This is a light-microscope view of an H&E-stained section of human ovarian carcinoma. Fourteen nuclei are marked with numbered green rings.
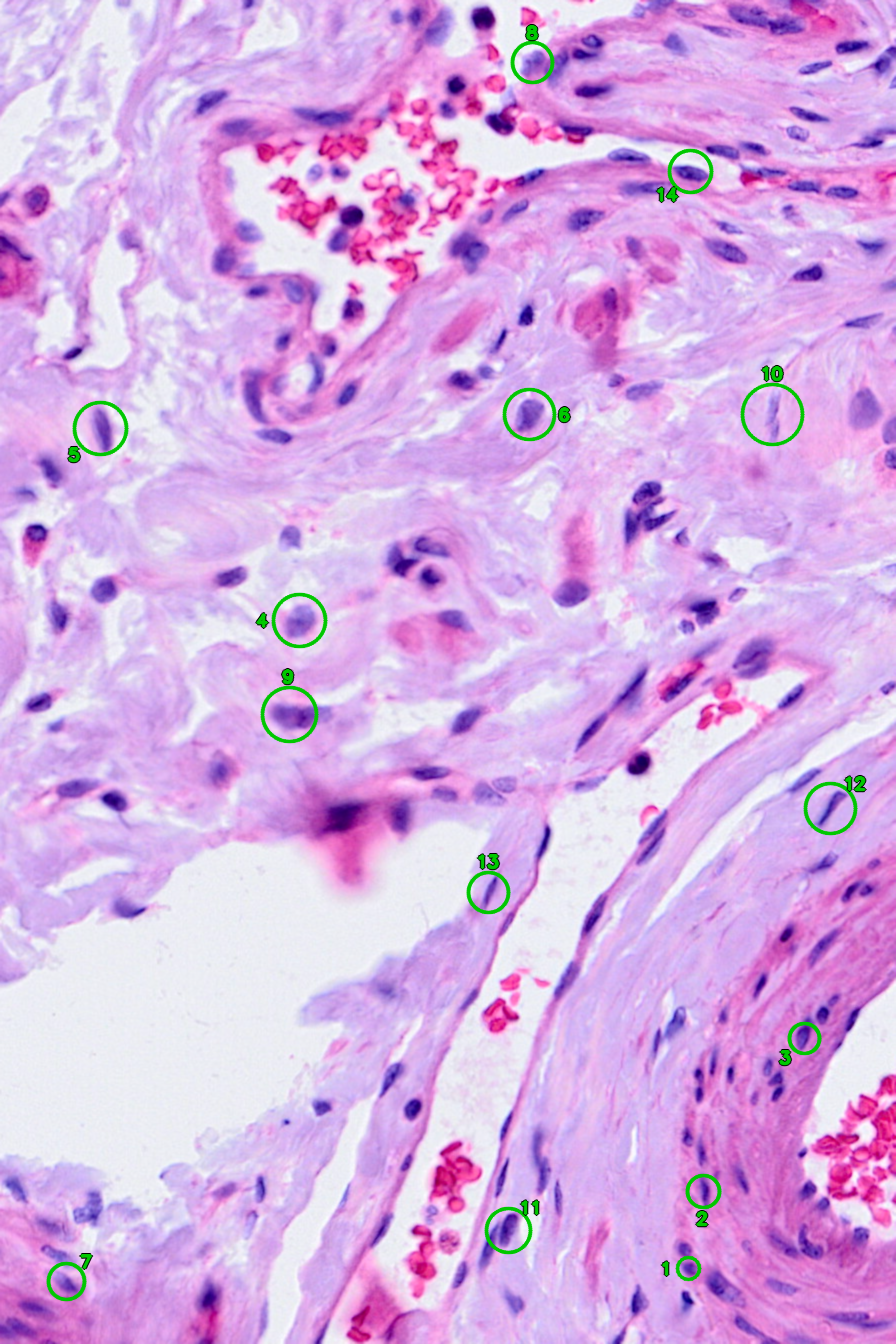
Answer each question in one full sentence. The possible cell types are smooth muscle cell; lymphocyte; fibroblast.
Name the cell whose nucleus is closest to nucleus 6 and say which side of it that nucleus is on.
Just above and to the left of nucleus 6 lies the nearest nucleus, which belongs to a lymphocyte.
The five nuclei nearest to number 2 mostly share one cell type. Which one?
Smooth muscle cells make up most of the five nuclei closest to number 2.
